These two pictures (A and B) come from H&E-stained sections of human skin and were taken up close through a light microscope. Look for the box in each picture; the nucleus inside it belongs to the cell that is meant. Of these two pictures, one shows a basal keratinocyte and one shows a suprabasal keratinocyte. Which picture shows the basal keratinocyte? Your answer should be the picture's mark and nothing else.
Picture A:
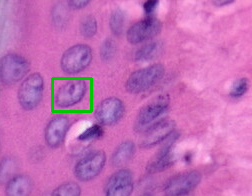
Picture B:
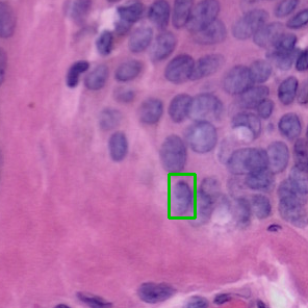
B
